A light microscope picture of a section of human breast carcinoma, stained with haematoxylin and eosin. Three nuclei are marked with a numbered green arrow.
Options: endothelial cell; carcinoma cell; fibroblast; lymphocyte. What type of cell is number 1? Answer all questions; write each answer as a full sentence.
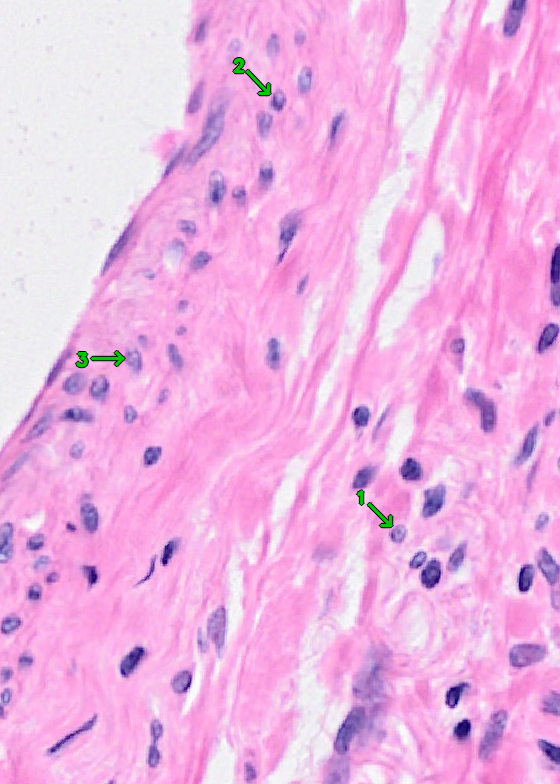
Here the cell numbered 1 is a lymphocyte.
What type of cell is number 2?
The cell whose nucleus carries the number 2 is an endothelial cell.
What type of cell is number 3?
The cell marked with the number 3 is an endothelial cell.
